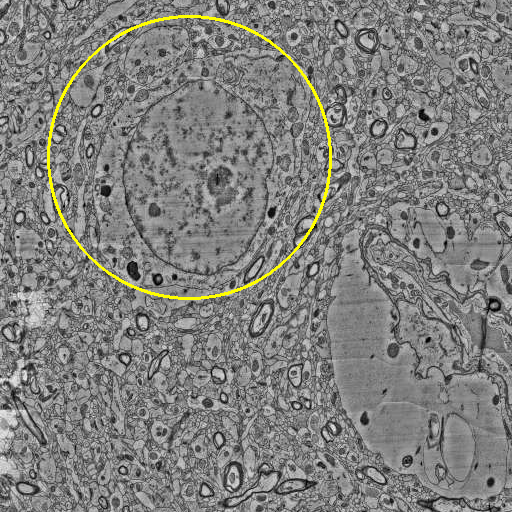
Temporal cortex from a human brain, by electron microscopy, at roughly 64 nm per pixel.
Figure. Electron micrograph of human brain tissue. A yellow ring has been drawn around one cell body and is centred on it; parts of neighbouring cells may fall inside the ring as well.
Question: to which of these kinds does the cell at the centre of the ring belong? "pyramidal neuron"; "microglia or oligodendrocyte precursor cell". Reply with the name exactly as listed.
pyramidal neuron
